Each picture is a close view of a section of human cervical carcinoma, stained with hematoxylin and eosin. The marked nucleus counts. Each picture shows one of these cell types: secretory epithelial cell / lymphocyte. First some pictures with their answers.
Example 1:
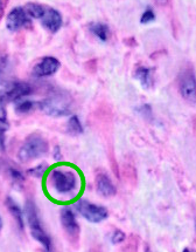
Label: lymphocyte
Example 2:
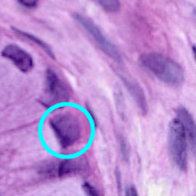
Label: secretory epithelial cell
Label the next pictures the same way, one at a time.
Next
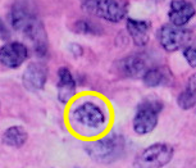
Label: lymphocyte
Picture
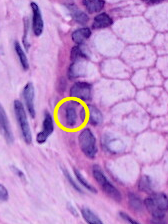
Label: secretory epithelial cell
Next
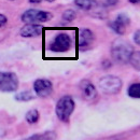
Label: lymphocyte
